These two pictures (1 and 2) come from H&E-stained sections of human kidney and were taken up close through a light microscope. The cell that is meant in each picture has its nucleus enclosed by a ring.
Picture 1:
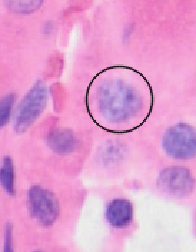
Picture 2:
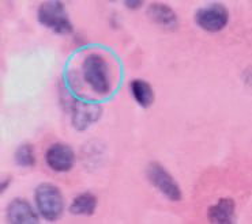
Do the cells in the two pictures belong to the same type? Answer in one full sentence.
No, the types are not the same, since picture 1 shows a “loop of Henle or distal tubule cell” and picture 2 a collecting duct cell.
